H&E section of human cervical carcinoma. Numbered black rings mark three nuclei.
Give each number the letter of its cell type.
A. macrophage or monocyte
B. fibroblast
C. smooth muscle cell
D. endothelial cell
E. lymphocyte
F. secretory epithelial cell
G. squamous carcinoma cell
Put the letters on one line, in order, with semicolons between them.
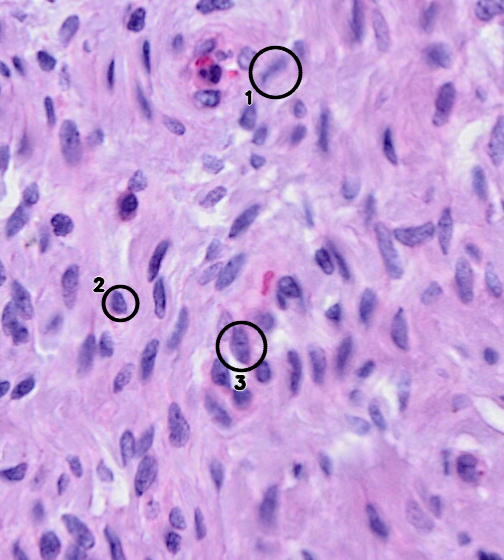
B; B; D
